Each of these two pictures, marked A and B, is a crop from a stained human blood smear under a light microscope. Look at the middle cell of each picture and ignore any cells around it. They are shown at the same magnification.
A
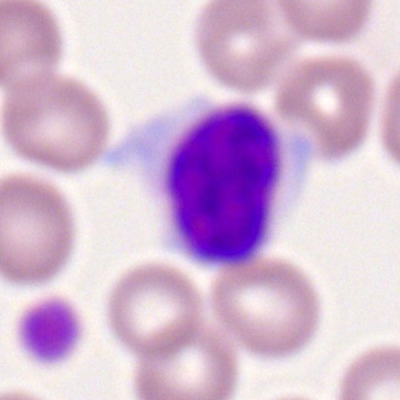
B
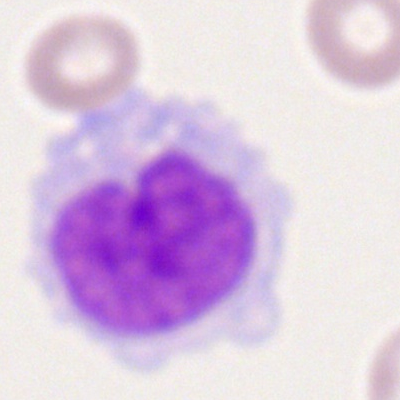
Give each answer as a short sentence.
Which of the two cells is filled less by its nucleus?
The nucleus fills less of the cell in picture B than in picture A.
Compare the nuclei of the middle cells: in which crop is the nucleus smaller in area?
The nucleus in picture A is smaller; the one in picture B has about 2.5 times its area.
